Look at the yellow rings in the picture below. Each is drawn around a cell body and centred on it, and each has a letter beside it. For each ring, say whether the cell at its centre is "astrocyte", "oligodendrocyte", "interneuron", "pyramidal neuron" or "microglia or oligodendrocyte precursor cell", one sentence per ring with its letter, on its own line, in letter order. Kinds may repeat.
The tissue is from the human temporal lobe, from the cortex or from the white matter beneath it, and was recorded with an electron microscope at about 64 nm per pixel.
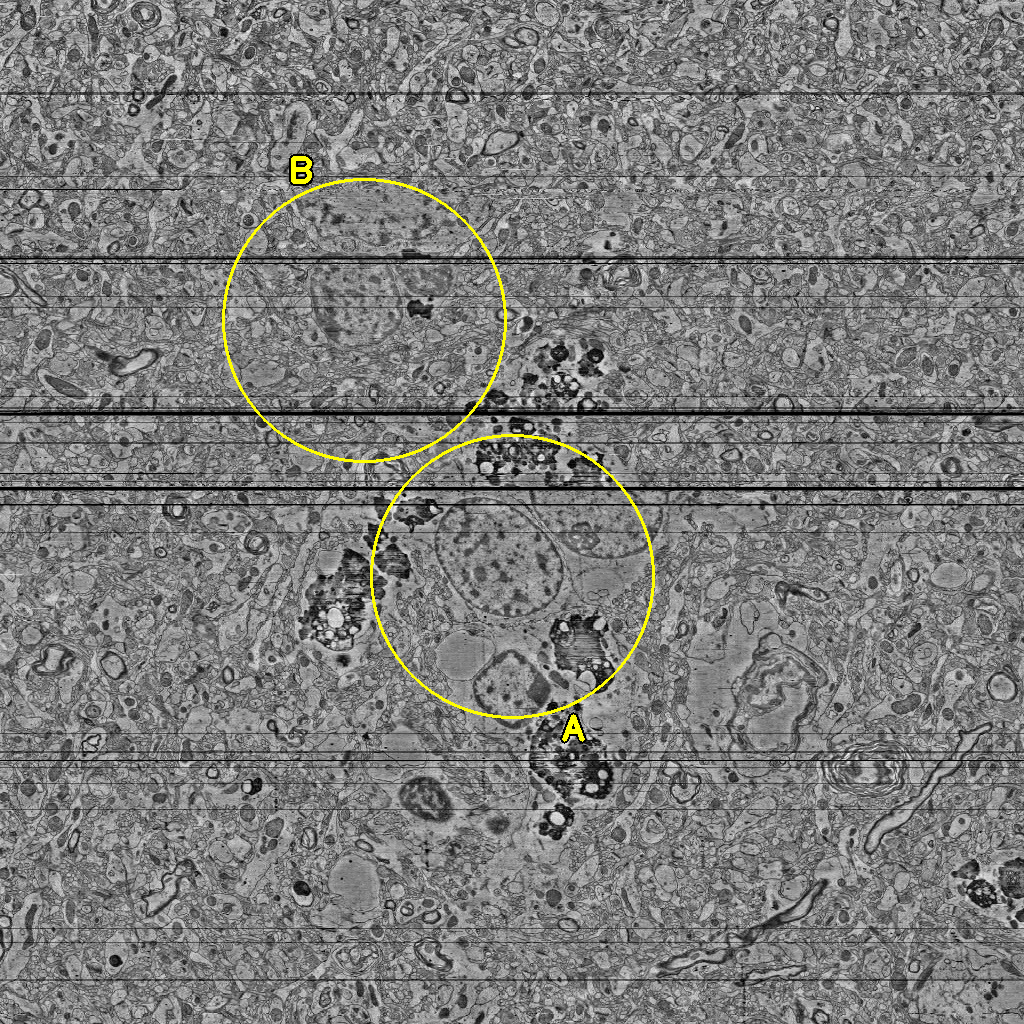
The centred cell of ring A is an astrocyte.
The centred cell of ring B is an oligodendrocyte.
